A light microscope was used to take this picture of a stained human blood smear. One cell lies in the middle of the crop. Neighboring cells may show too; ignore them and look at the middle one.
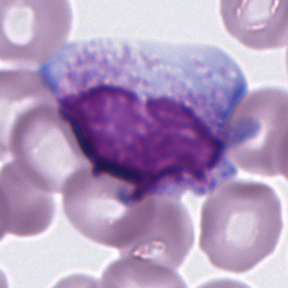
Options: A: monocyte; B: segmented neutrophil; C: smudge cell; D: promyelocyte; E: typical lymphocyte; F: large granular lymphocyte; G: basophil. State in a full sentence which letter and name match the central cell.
Option D is correct, and the cell in the centre is a promyelocyte.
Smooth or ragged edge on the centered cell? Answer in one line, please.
This cell does not have a smooth edge; it is ragged or extended into projections.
